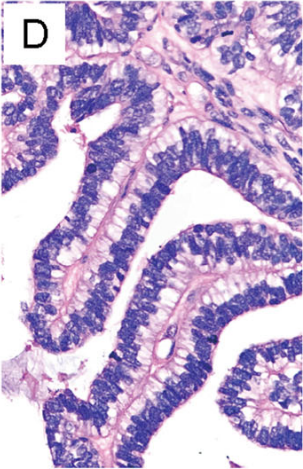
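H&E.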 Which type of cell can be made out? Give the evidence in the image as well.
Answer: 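Epithelial. Cells form a continuous lining along fronds.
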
